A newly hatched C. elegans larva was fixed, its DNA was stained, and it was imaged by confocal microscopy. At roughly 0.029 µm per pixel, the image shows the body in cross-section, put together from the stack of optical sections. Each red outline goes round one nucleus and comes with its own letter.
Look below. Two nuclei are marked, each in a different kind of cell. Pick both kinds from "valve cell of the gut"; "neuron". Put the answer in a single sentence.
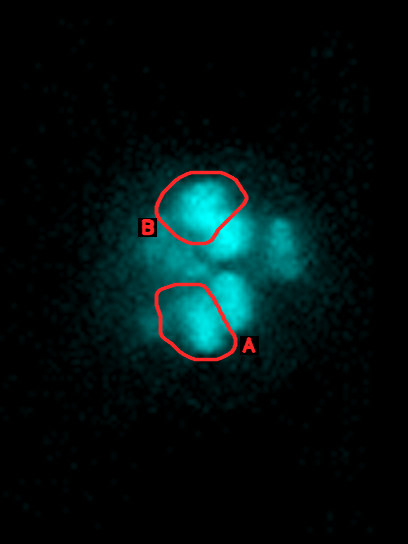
Nucleus A comes from a valve cell of the gut and nucleus B from a neuron.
